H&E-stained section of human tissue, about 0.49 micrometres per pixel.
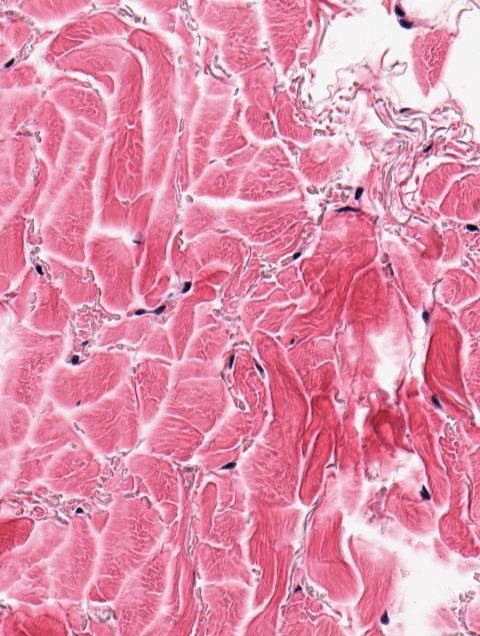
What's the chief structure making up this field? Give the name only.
dermis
